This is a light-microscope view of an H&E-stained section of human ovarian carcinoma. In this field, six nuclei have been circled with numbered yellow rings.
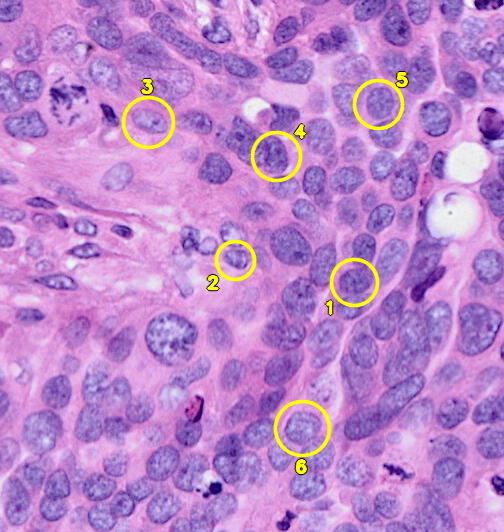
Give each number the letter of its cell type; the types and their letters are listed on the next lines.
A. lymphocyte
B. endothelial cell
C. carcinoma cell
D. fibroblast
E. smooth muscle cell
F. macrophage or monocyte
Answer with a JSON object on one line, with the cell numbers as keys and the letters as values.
{"1": "C", "2": "D", "3": "D", "4": "C", "5": "C", "6": "C"}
